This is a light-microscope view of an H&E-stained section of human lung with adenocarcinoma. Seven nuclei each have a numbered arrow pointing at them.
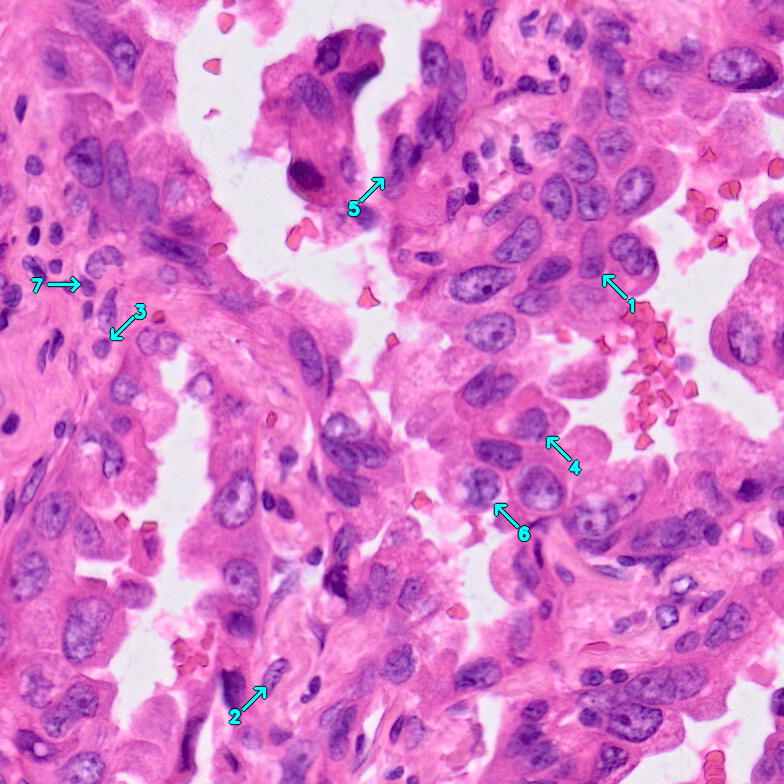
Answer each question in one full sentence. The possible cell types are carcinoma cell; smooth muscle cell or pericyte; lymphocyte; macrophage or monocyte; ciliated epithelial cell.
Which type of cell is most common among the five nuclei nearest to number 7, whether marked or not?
Around number 7, most of the five nearest nuclei are those of macrophages or monocytes.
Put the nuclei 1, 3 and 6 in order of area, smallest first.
The order from the smallest nucleus to the largest is 3, 1, 6.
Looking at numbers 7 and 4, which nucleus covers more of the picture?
Of the two, number 4 is bigger and takes up about 4 times the area of number 7.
